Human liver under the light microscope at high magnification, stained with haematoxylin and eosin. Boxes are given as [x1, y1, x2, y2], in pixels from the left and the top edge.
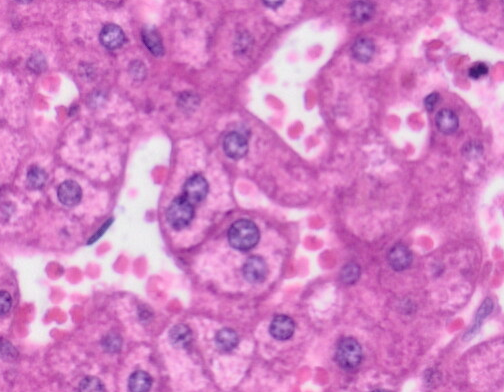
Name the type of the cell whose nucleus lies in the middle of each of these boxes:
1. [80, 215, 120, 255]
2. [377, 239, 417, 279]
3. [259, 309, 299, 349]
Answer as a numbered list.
1. endothelial cell
2. hepatocyte
3. hepatocyte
